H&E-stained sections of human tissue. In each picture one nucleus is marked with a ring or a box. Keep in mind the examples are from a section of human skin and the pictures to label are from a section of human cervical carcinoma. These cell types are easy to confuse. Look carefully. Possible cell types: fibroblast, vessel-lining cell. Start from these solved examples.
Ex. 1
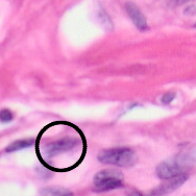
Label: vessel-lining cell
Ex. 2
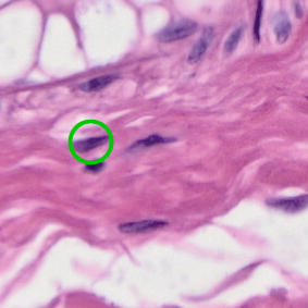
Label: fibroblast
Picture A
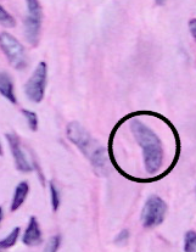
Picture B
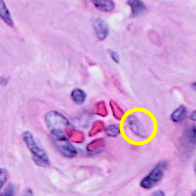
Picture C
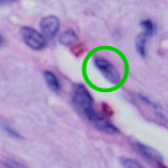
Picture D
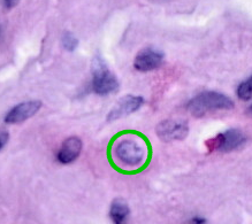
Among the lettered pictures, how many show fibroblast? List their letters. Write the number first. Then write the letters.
1: A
